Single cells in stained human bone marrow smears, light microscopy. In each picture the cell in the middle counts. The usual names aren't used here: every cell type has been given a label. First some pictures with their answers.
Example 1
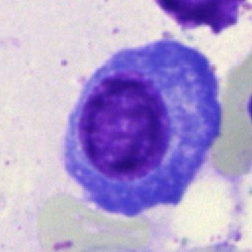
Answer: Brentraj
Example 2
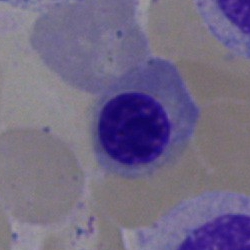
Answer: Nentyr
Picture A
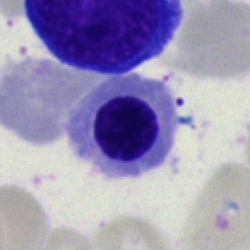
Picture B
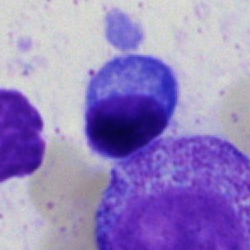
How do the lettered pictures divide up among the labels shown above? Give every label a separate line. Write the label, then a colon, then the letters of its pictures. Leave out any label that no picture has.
Brentraj: B
Nentyr: A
